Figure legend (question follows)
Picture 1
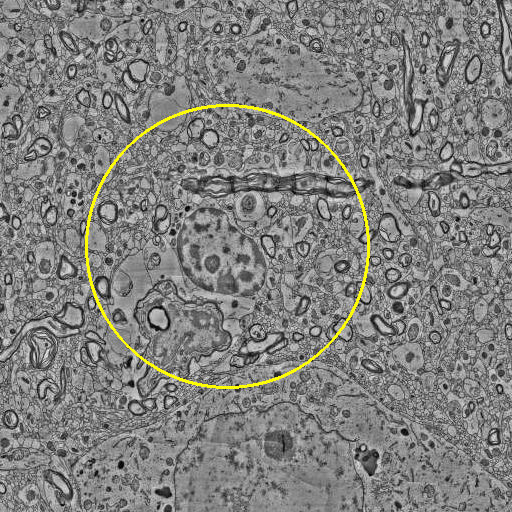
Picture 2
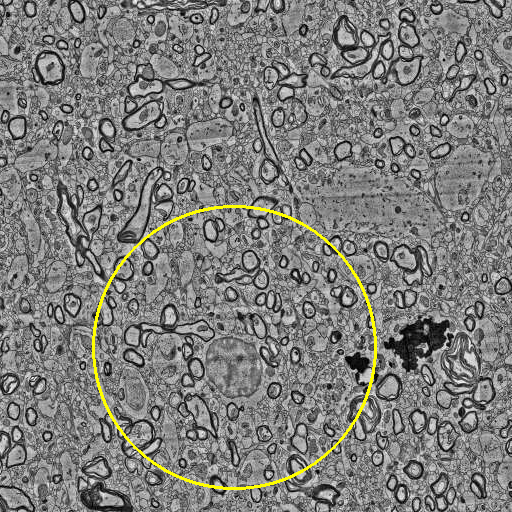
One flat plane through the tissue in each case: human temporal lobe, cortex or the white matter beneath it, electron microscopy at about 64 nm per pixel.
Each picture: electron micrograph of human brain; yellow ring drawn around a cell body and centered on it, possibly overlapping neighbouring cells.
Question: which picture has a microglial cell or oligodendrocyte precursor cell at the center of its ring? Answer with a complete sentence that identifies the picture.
Picture 1 has it at the center of its ring.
